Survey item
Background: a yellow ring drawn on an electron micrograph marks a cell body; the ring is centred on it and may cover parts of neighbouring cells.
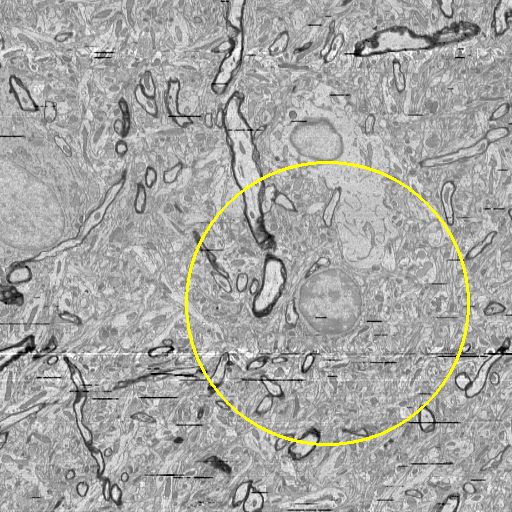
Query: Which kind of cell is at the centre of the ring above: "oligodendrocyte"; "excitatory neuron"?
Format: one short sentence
The cell in the middle of the ring is an oligodendrocyte.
